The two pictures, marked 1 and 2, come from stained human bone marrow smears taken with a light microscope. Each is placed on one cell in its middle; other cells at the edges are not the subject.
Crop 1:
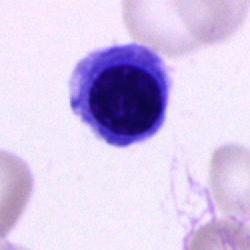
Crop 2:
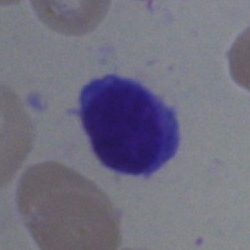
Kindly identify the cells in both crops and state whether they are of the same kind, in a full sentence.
No, crop 1 holds a normoblast, and a lymphocyte occupies crop 2.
